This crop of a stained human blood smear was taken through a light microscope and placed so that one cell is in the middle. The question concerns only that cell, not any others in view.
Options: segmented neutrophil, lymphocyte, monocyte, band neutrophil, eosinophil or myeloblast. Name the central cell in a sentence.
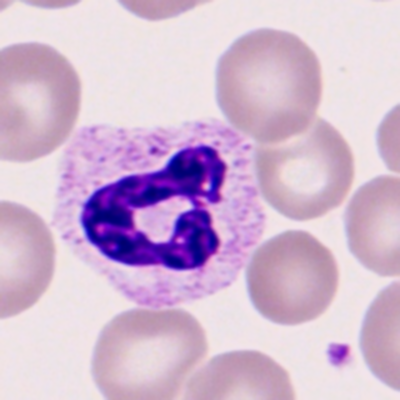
The middle cell in this particular crop is a segmented neutrophil.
